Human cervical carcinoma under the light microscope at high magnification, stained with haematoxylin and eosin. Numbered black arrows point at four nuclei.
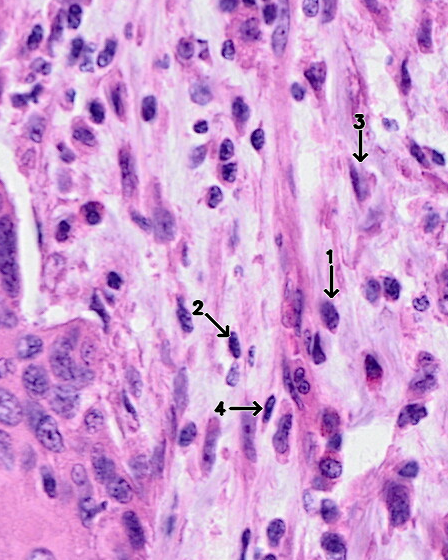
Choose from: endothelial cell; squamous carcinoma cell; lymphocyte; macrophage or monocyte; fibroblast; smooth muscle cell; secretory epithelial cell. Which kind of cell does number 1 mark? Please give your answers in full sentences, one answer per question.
That cell with number 1 is a lymphocyte.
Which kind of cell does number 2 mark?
The cell numbered 2 represents a lymphocyte.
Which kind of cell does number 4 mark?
The cell identified by number 4 is a lymphocyte.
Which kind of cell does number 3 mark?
The cell referred to as 3 is a fibroblast.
